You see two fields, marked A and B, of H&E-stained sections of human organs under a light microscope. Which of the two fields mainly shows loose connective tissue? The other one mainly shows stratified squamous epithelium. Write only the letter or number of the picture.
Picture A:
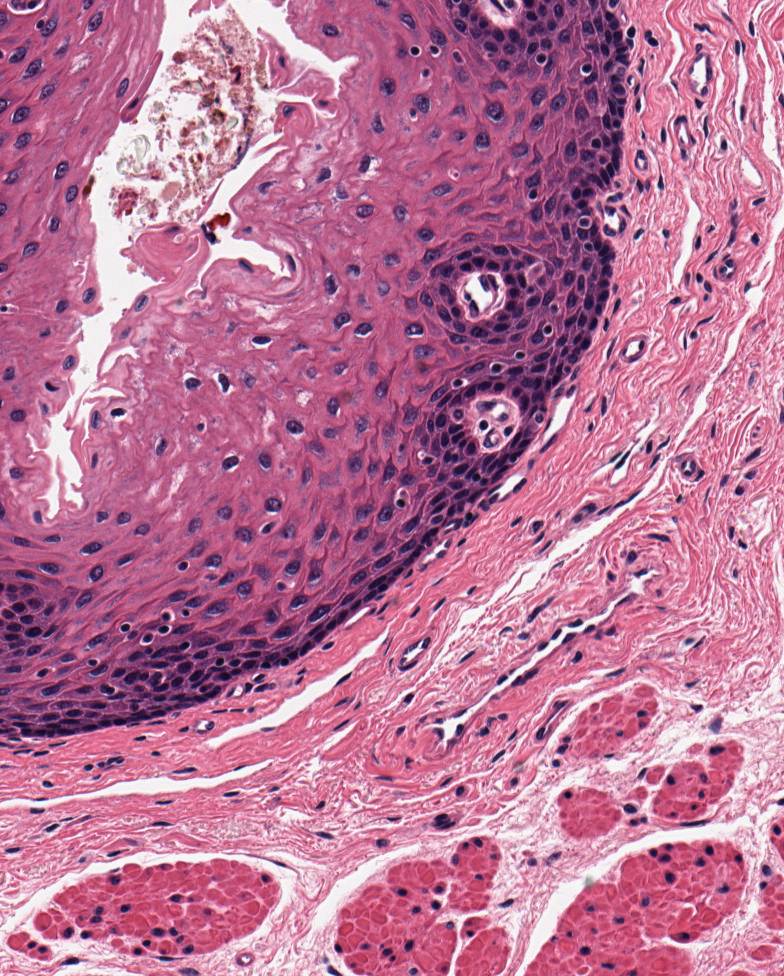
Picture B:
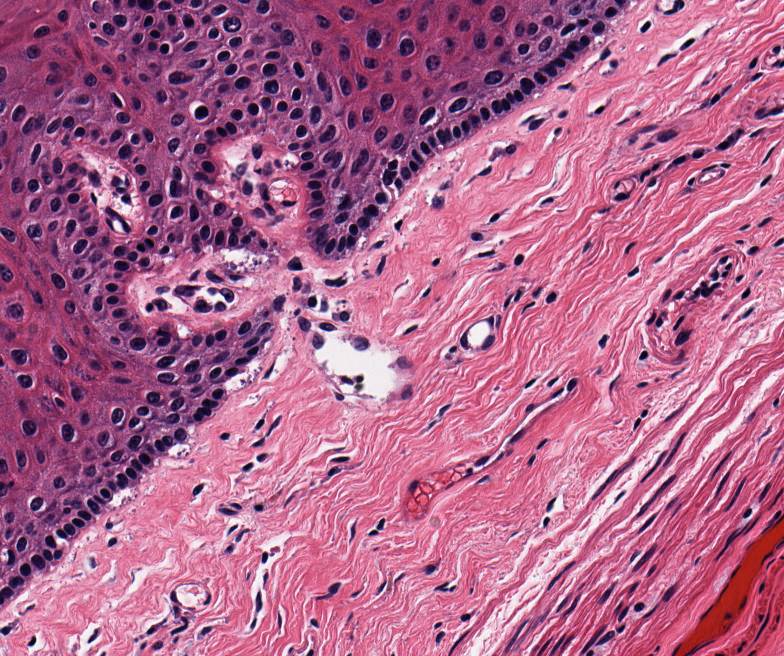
B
